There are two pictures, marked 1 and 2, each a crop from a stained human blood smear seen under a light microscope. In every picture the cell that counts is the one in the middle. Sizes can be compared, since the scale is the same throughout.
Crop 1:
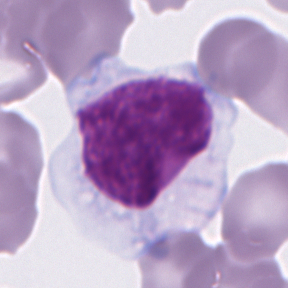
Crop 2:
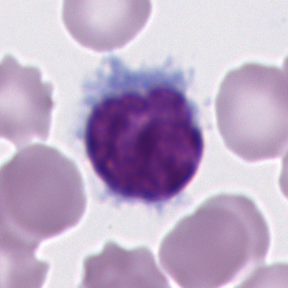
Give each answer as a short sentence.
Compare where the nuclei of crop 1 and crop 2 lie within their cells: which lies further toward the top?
It is the nucleus in crop 1 that lies further toward the top of its cell.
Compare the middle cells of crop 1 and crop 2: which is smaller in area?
Crop 2 holds the smaller cell, since the cell in crop 1 covers about 2 times as much area.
